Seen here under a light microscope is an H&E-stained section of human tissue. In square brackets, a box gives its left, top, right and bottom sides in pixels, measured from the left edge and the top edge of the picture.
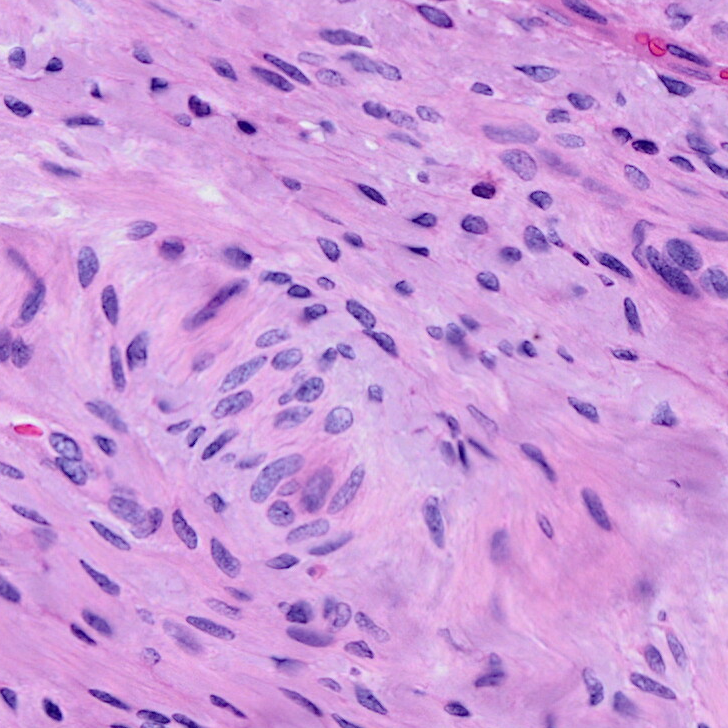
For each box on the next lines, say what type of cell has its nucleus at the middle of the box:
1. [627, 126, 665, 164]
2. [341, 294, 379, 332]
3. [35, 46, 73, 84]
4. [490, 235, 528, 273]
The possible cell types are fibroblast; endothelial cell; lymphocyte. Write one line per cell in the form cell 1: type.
cell 1: lymphocyte
cell 2: fibroblast
cell 3: fibroblast
cell 4: fibroblast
